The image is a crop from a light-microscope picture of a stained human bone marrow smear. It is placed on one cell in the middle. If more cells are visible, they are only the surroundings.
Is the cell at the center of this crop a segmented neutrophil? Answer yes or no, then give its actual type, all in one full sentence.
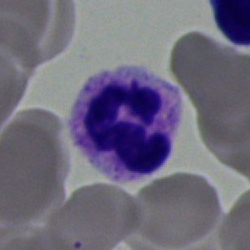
Yes, the cell at the very centre of the crop is a segmented neutrophil.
